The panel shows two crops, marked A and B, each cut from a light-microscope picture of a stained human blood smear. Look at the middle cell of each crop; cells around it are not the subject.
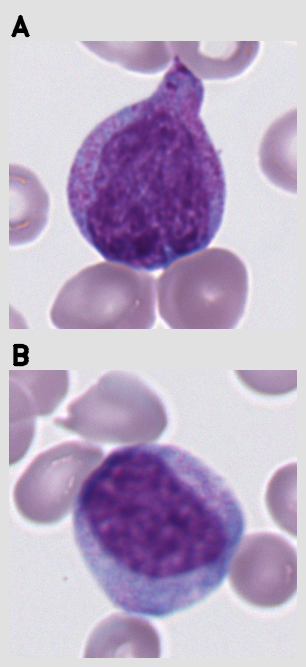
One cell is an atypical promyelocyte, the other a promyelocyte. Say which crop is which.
A: atypical promyelocyte
B: promyelocyte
